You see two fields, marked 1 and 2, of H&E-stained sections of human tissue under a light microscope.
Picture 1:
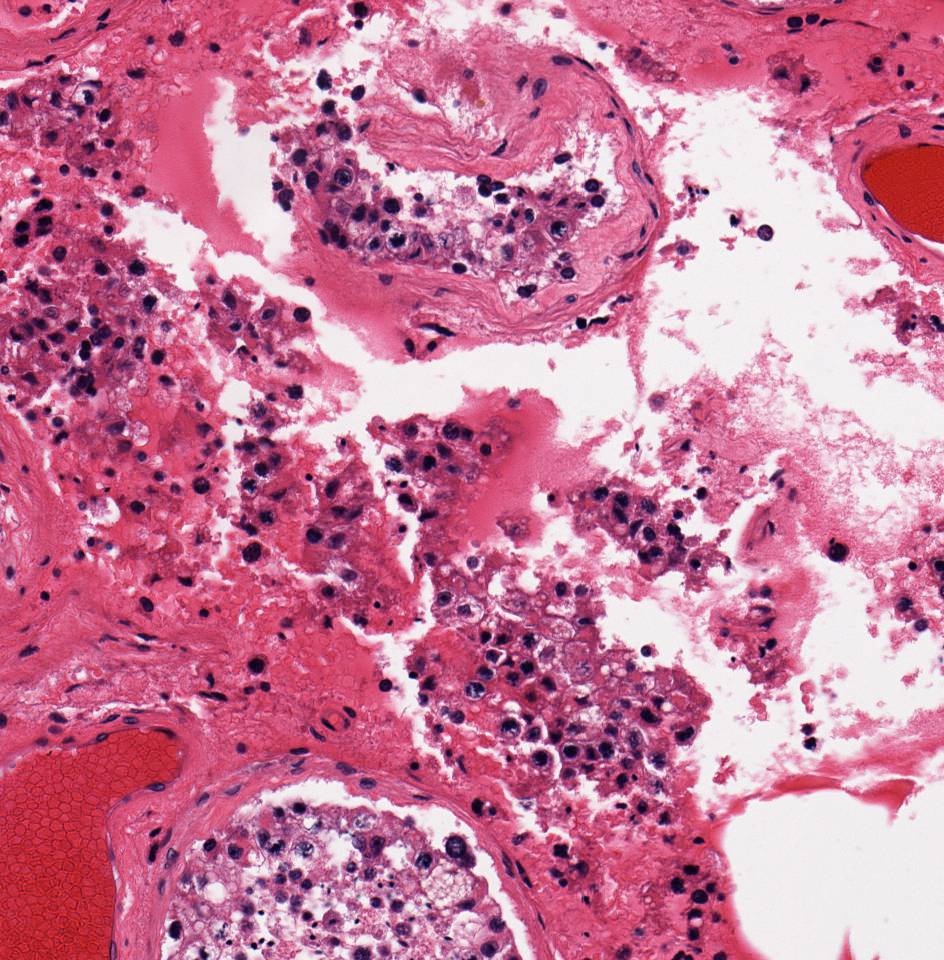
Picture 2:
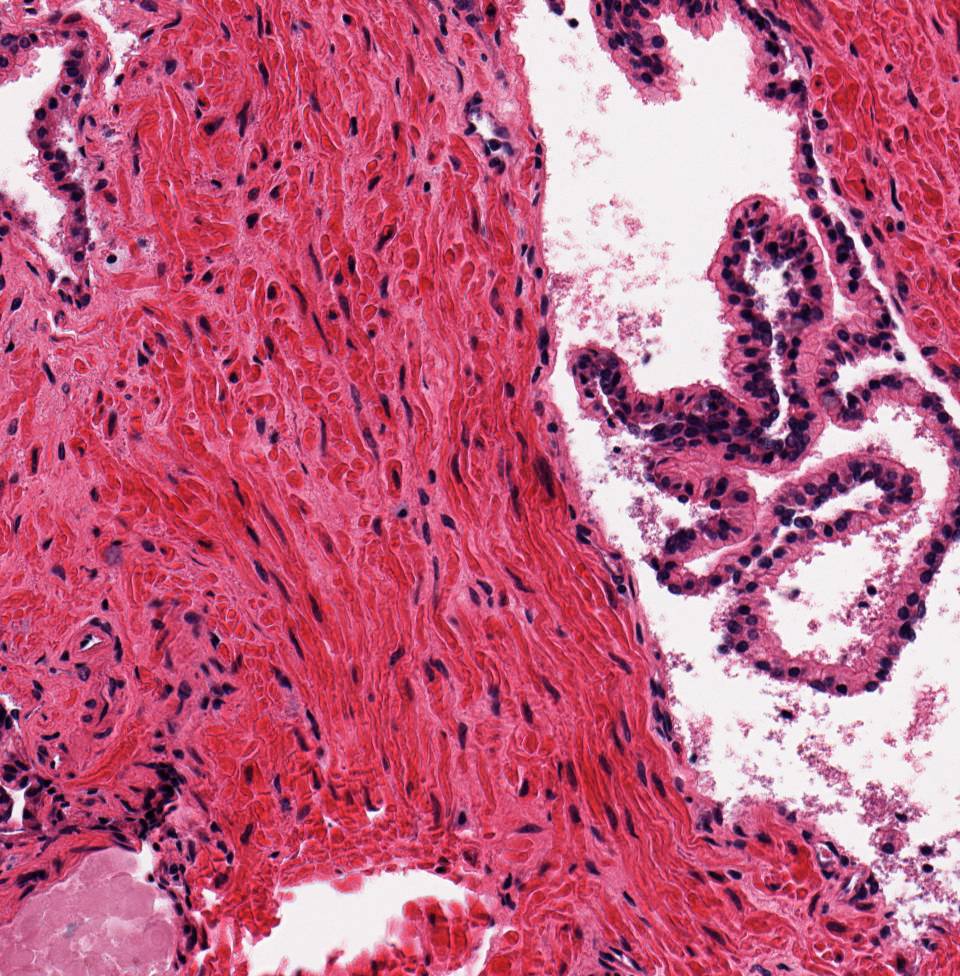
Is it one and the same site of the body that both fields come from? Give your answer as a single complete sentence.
No. Picture 1 comes from the testis, whereas picture 2 comes from the prostate.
